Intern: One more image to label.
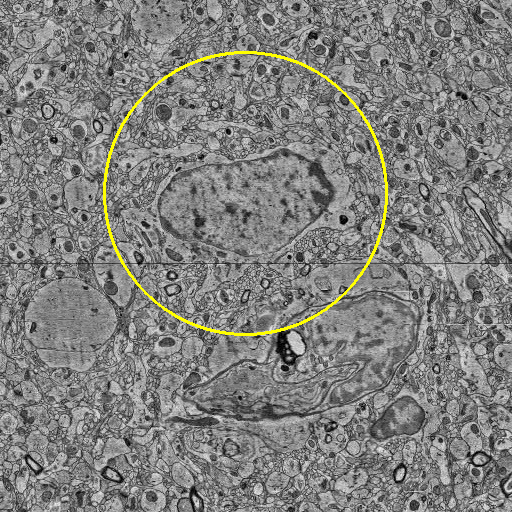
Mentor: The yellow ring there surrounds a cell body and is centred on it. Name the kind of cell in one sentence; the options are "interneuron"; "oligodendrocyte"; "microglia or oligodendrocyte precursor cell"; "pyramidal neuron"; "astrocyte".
The ring marks the cell body of a microglial cell or oligodendrocyte precursor cell.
